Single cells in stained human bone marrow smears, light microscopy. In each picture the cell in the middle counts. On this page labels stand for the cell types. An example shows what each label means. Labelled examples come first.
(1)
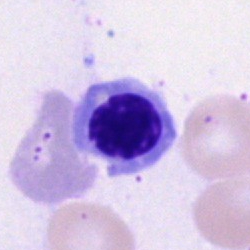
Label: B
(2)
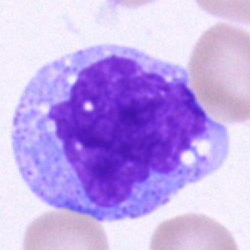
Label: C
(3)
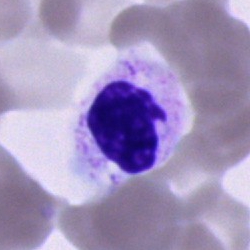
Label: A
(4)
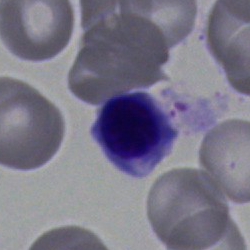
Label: B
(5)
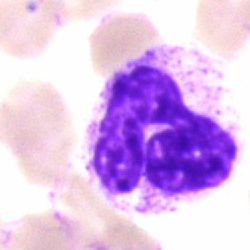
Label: A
